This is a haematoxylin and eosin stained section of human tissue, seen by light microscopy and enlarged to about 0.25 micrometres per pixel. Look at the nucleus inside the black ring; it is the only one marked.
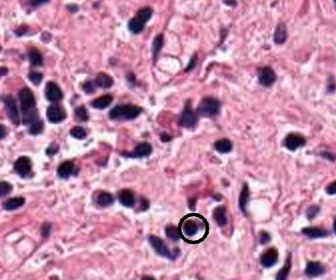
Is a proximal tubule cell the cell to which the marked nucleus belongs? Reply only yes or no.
no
